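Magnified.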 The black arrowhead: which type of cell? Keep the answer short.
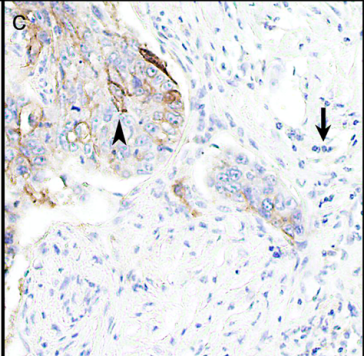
tumor cells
